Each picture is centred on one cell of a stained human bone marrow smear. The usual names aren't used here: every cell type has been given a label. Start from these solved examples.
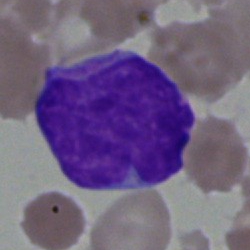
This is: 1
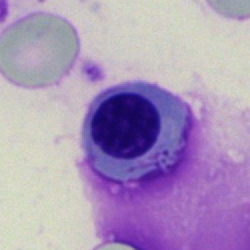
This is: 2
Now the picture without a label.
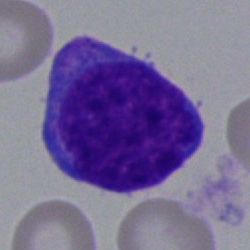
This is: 1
